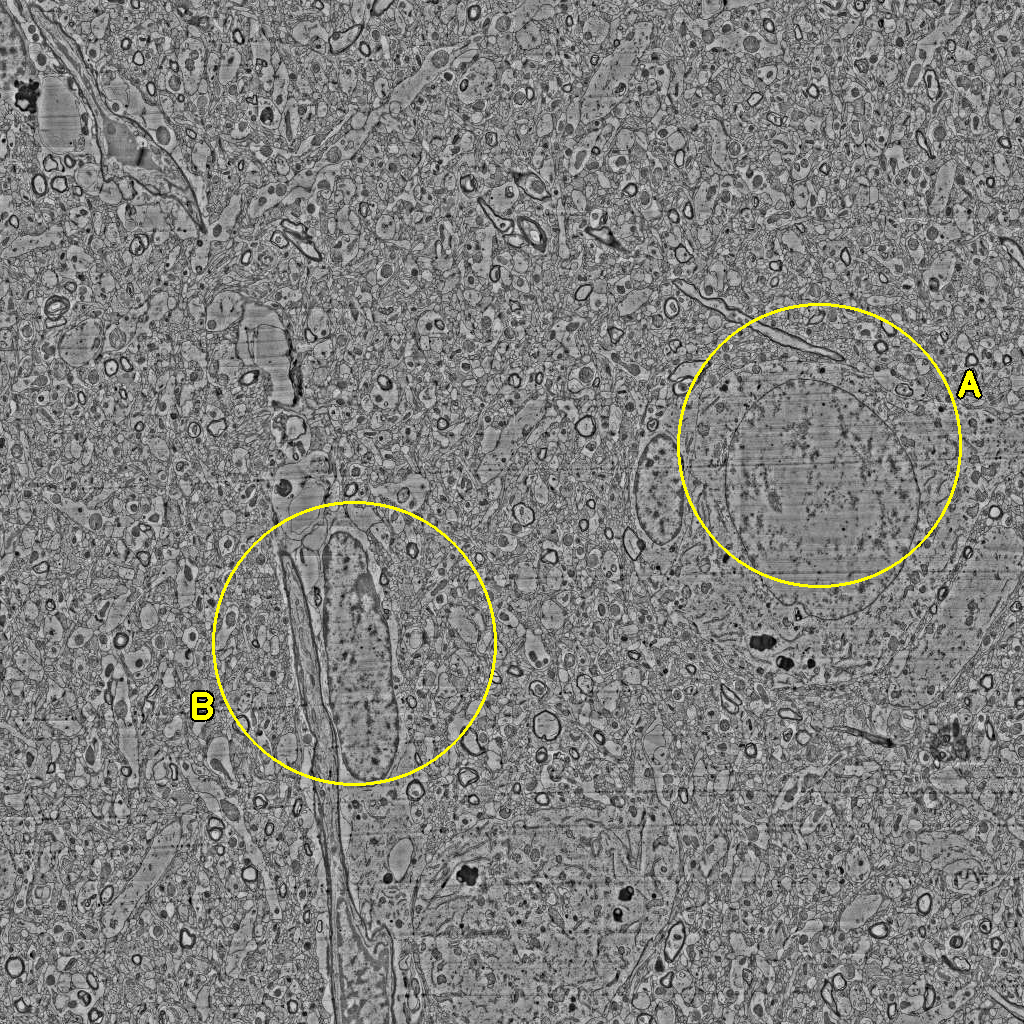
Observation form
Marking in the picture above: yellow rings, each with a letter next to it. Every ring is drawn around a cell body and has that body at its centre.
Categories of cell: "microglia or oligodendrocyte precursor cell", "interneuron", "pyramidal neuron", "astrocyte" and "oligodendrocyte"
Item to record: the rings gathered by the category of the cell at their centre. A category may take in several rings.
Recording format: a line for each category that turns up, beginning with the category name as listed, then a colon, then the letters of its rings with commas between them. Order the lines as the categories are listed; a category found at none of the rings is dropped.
microglia or oligodendrocyte precursor cell: B
pyramidal neuron: A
